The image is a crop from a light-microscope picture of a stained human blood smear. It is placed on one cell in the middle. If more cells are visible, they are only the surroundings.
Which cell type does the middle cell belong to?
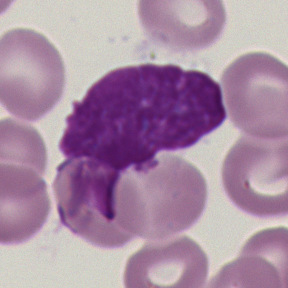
smudge cell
